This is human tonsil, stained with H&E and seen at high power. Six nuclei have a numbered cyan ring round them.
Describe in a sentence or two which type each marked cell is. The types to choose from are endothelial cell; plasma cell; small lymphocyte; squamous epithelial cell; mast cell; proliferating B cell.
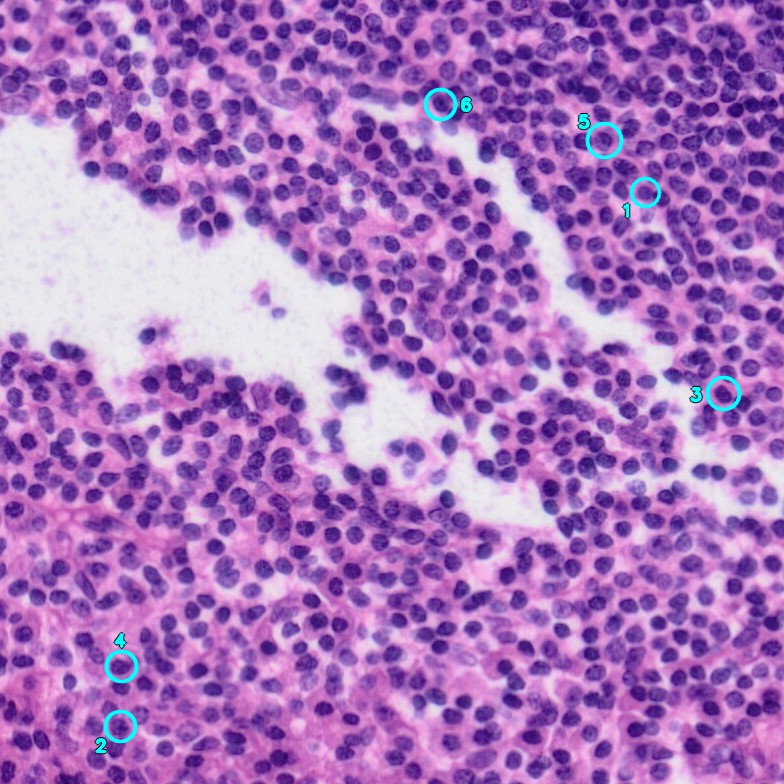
Cells 1, 3, 5 and 6 are small lymphocytes. Cells 2 and 4 are plasma cells.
